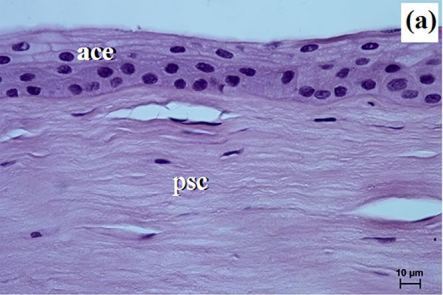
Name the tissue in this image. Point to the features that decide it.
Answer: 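Cornea. A thin stratified epithelium of a few cell layers covers the surface. Below lies a thick stroma of regular, parallel pale pink lamellae. The stroma holds only sparse flattened nuclei and no blood vessels.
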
